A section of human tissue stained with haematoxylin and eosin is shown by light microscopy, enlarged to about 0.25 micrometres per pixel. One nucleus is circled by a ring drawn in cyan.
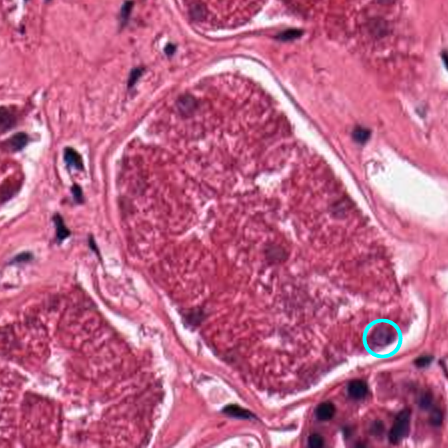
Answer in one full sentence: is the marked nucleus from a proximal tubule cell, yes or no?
Yes, the nucleus picked out by the mark belongs to a proximal tubule cell.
